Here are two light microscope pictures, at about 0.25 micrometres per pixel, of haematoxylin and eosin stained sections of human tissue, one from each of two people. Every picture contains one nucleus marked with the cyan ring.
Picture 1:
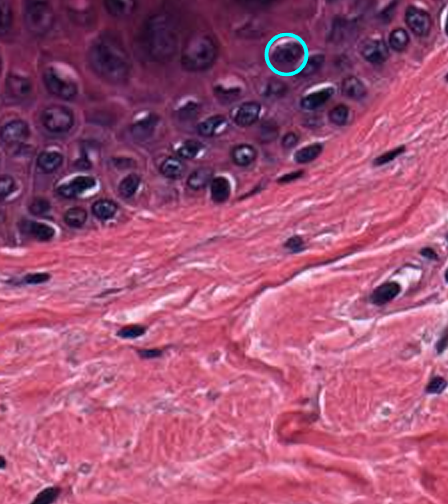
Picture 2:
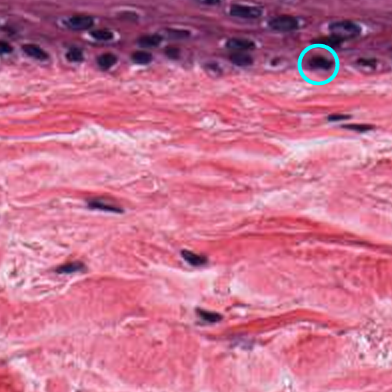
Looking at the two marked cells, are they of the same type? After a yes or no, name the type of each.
Yes, both are keratinocytes.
